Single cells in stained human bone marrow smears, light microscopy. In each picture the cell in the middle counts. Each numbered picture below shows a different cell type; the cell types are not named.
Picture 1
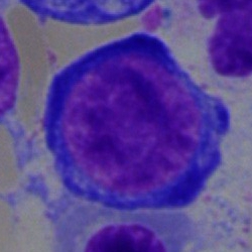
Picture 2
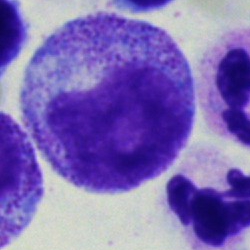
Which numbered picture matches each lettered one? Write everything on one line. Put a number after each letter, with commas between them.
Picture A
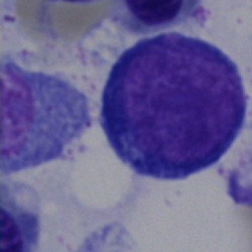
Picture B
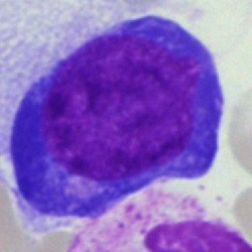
A 1, B 1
